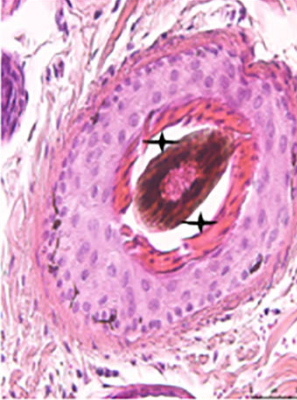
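This is a hair follicle cut across, showing concentric layers around a central hair shaft. The outer sheath is a thick ring of pale purple epithelial cells with round nuclei, surrounded by loose pink connective tissue. Inside it lies a thin bright red ring, then a clear empty space, and in the middle the hair shaft, brown-pigmented around its rim with a pinker core.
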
